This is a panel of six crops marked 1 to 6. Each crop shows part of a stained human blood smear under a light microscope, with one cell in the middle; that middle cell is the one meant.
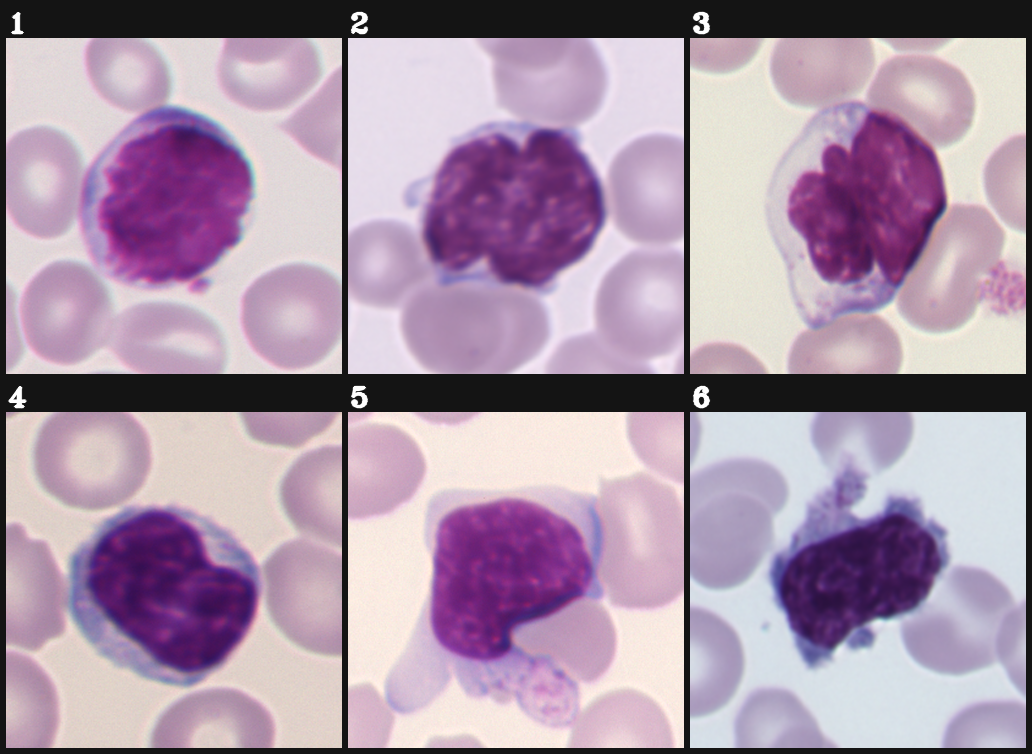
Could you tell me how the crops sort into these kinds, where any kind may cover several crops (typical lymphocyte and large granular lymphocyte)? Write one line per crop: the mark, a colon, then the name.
1: large granular lymphocyte
2: large granular lymphocyte
3: large granular lymphocyte
4: typical lymphocyte
5: large granular lymphocyte
6: typical lymphocyte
